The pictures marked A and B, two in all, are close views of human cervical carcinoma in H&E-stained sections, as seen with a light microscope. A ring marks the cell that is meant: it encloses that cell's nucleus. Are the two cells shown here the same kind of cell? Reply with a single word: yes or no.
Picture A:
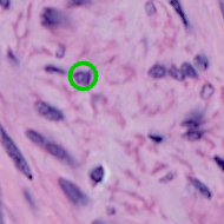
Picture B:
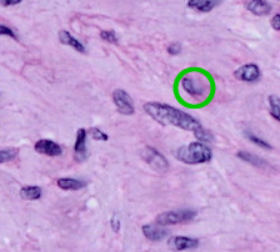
yes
